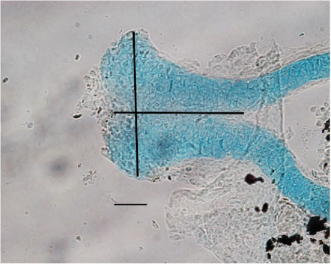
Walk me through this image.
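Here the palate cartilage of a whole-mount larval head is stained blue, a wide flat plate in front narrowing into two paired rods that run backwards. Within the blue matrix the cartilage cells can be faintly made out as small packed units, while the surrounding unstained tissue appears pale grey.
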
